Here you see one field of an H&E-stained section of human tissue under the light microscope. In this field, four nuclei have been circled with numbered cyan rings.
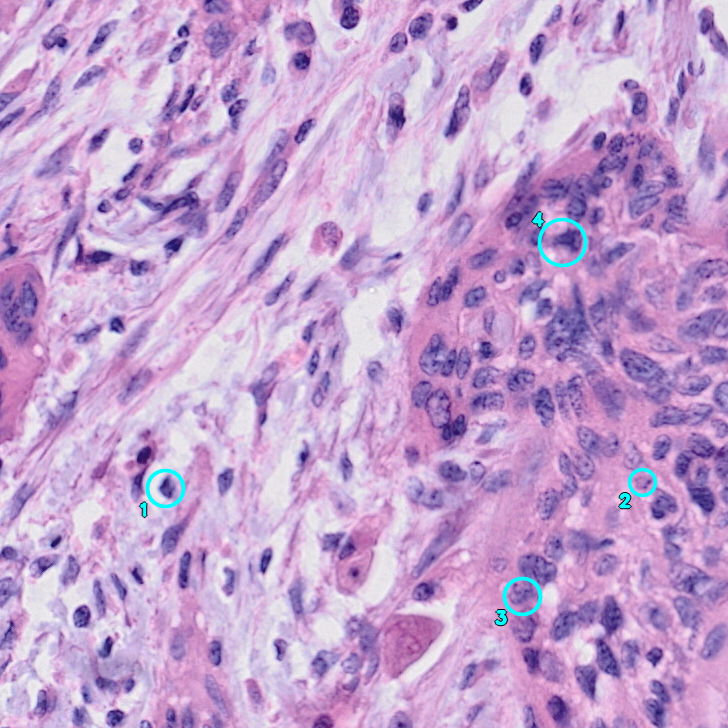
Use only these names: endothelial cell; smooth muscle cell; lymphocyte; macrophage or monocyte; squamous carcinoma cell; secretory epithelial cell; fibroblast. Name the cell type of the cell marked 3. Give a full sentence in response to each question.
That cell with number 3 is a squamous carcinoma cell.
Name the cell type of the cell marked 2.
Cell number 2 in this section is a squamous carcinoma cell.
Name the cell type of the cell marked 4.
Among the marked nuclei, number 4 belongs to a squamous carcinoma cell.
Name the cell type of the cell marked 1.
The cell marked with the number 1 is a lymphocyte.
